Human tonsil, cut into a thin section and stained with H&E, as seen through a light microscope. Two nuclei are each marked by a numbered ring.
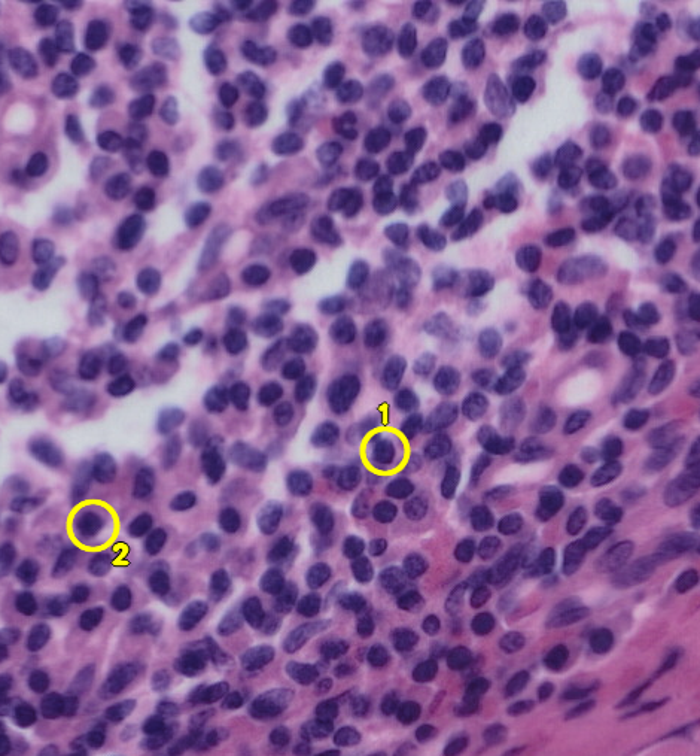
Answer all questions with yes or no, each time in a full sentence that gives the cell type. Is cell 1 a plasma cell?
No, cell 1 is classified as a small lymphocyte rather than a plasma cell.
